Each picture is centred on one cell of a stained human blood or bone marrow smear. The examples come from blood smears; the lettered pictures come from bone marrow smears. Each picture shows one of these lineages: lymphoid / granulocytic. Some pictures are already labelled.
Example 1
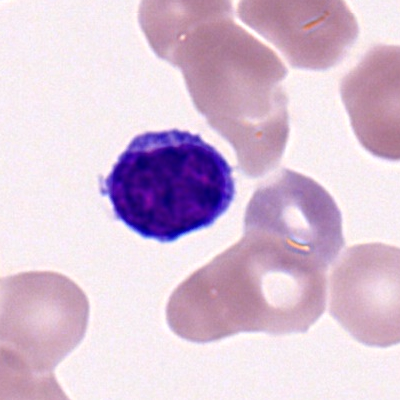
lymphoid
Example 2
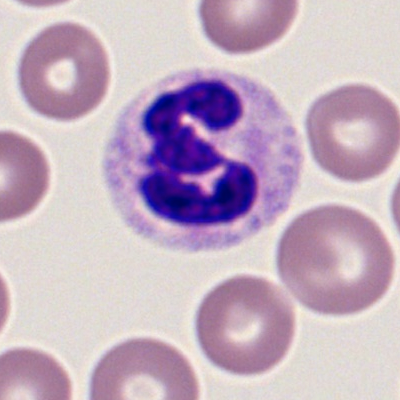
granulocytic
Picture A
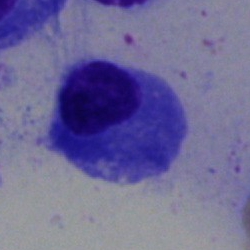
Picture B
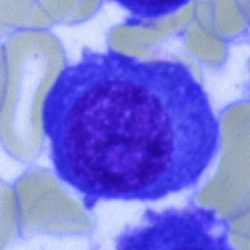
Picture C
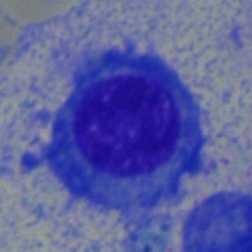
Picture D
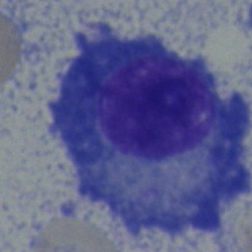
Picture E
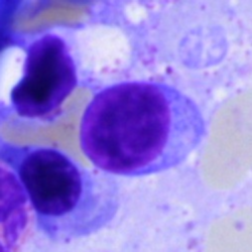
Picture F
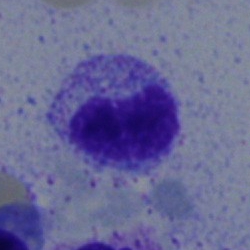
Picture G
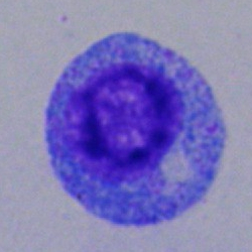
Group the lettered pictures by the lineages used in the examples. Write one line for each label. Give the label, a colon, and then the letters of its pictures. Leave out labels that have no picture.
lymphoid: A, B, C, D, E
granulocytic: F, G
